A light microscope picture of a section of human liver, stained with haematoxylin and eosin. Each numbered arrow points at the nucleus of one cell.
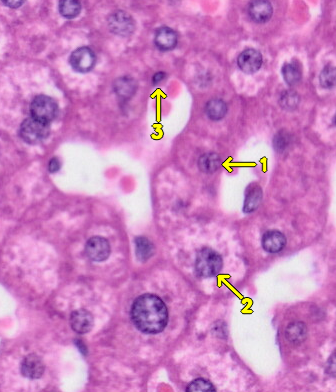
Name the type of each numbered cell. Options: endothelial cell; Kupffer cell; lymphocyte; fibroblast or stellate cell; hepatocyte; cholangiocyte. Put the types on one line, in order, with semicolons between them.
hepatocyte; hepatocyte; fibroblast or stellate cell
